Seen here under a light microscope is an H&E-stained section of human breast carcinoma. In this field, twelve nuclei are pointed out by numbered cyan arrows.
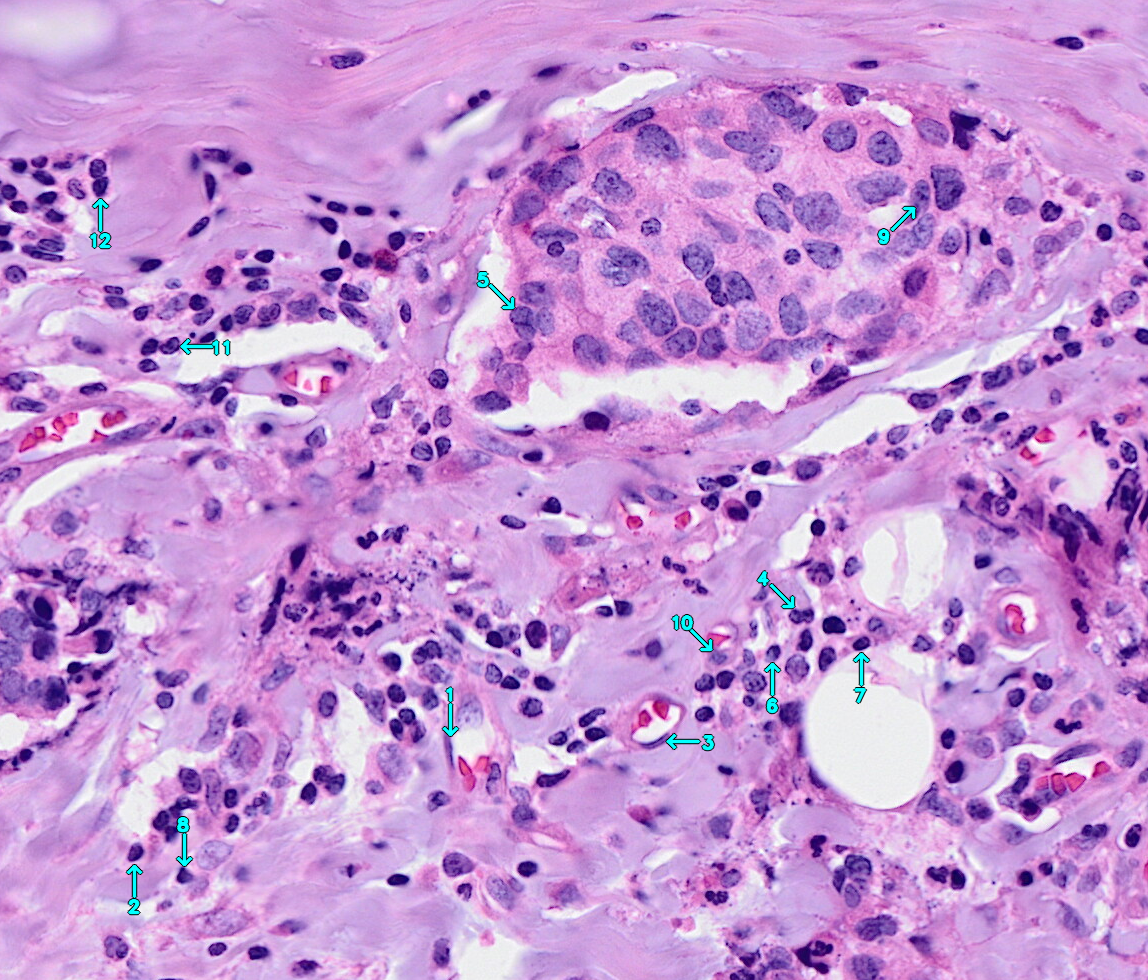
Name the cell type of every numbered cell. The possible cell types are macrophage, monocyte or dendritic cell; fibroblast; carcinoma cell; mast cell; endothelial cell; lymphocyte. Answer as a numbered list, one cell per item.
1. endothelial cell
2. lymphocyte
3. endothelial cell
4. lymphocyte
5. carcinoma cell
6. lymphocyte
7. lymphocyte
8. lymphocyte
9. carcinoma cell
10. endothelial cell
11. lymphocyte
12. lymphocyte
